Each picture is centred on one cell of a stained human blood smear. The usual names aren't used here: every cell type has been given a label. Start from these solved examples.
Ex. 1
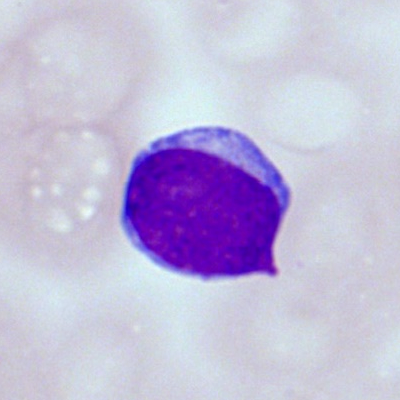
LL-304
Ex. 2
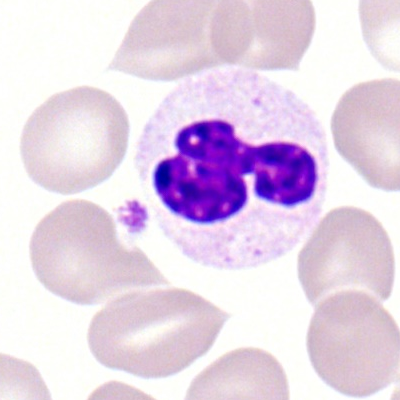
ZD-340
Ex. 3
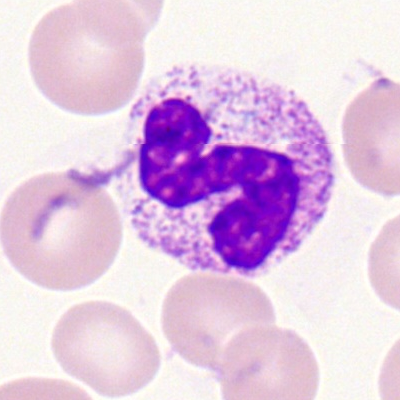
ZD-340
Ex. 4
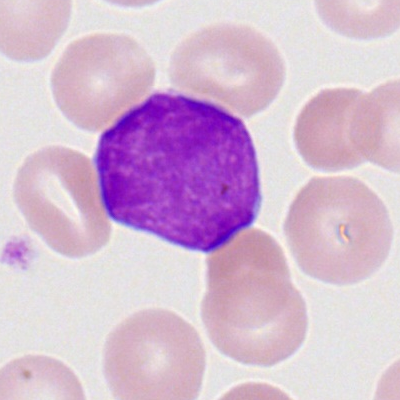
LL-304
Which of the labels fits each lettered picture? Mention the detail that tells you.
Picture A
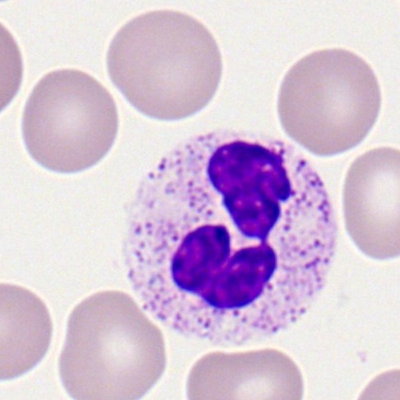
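ZD-340. Evidence: The nucleus is divided into three lobes.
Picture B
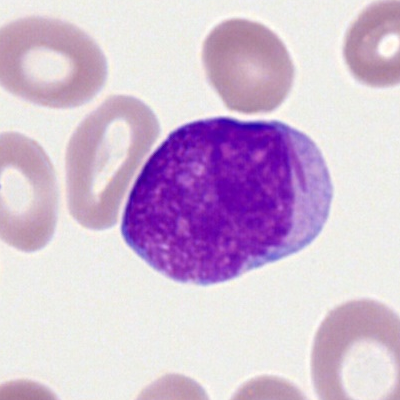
LL-304. Evidence: The nucleus fills most of the cell, leaving little cytoplasm.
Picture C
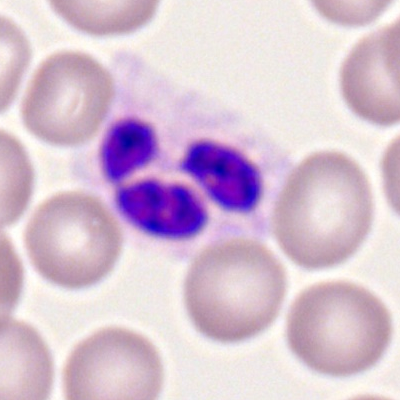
ZD-340. Evidence: The cytoplasm is plentiful and extends well beyond the nuclear lobes.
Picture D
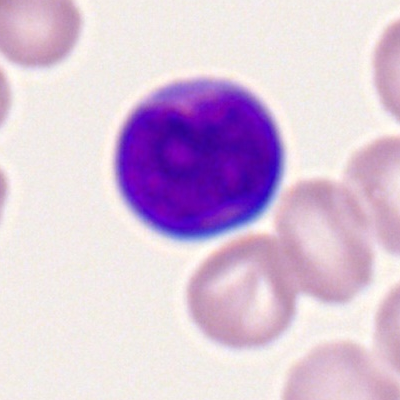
LL-304. Evidence: The cytoplasm is only a thin rim, widest along the top edge.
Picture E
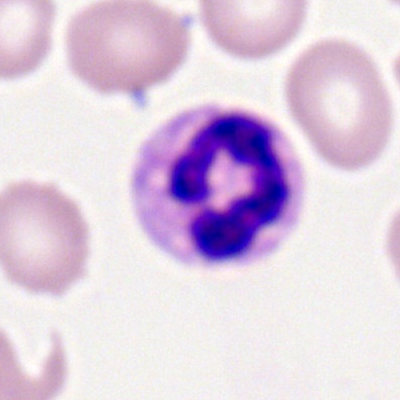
ZD-340. Evidence: The cytoplasm is plentiful and pale pink-lilac.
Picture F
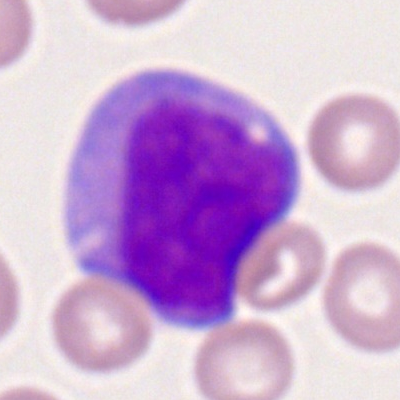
LL-304. Evidence: The nucleus is a single unlobed mass.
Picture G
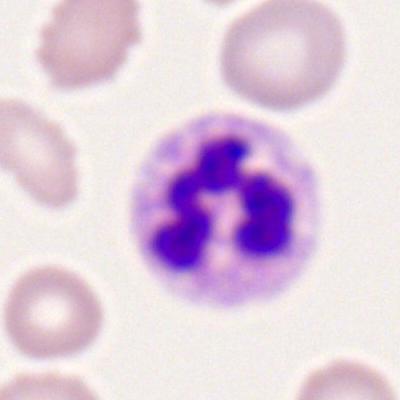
ZD-340. Evidence: The nucleus is divided into several separate lobes.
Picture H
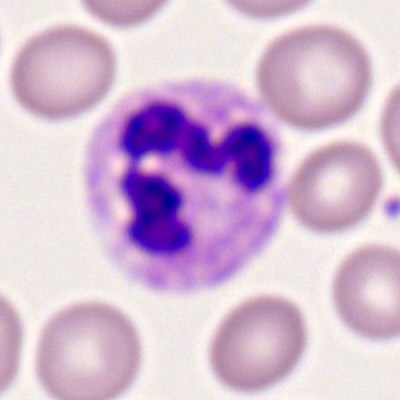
ZD-340. Evidence: The cytoplasm is plentiful and pale pinkish-lilac.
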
